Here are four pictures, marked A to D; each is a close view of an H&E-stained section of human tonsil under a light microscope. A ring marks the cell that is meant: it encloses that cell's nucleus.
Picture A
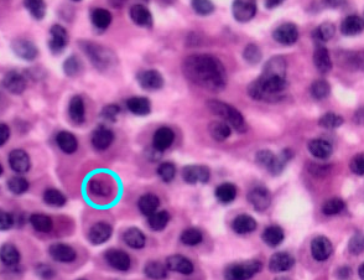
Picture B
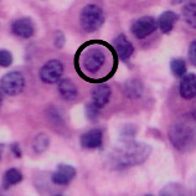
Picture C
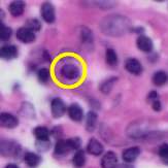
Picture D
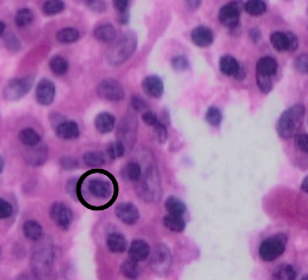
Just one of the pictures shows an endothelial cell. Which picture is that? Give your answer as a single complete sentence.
The endothelial cell is the one in picture C.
